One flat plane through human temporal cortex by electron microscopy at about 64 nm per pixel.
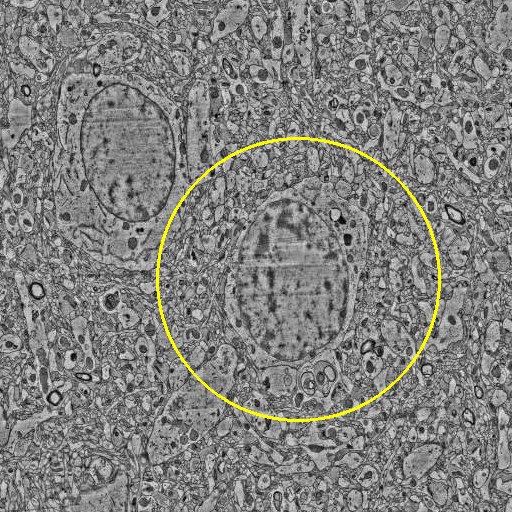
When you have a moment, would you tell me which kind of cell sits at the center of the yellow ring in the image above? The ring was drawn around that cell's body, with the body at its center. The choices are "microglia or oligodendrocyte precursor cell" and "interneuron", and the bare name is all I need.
interneuron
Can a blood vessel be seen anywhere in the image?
No.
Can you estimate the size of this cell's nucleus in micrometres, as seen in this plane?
In this plane the nucleus measures roughly 10 by 7 micrometres.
